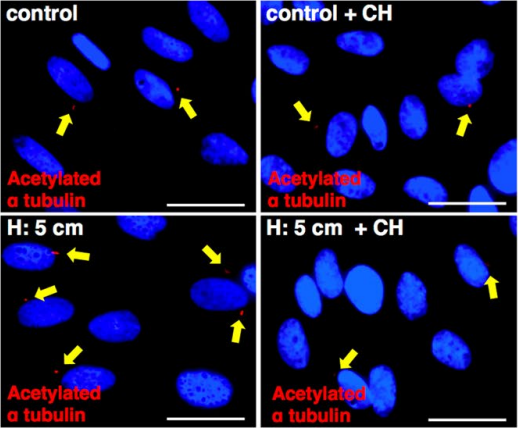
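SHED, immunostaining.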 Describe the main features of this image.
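The nuclei are oval to slightly elongated, smooth-edged, and some show small darker spots inside. The cells lie scattered with gaps between them, and the cell bodies themselves are not outlined. Yellow arrows point to each of these small red rods.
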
